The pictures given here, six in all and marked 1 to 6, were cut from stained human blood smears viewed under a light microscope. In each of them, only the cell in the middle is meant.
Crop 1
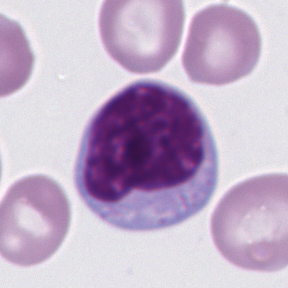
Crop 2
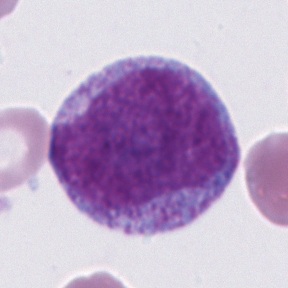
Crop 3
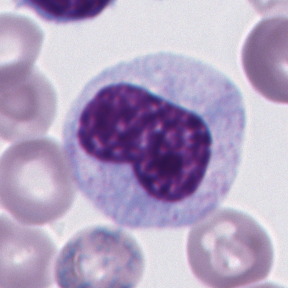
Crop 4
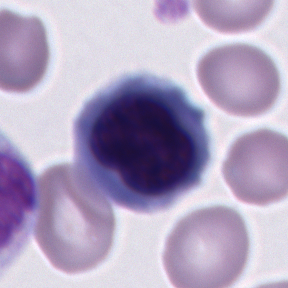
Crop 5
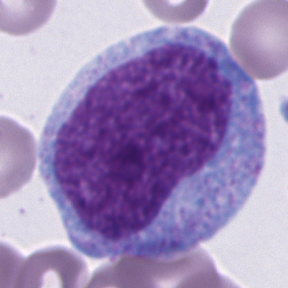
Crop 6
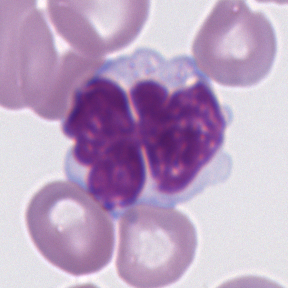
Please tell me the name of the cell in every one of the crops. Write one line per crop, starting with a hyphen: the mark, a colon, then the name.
- 1: large granular lymphocyte
- 2: promyelocyte
- 3: metamyelocyte
- 4: normoblast
- 5: promyelocyte
- 6: large granular lymphocyte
